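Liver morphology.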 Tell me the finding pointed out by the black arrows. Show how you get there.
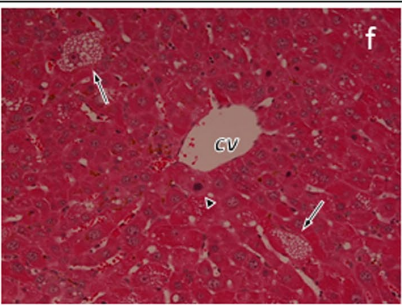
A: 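The arrows point to cells whose cytoplasm is filled with many tiny clear vacuoles. These cells look foamy and paler than the surrounding pink hepatocytes.
Conclusion: microvesicular fat accumulation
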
